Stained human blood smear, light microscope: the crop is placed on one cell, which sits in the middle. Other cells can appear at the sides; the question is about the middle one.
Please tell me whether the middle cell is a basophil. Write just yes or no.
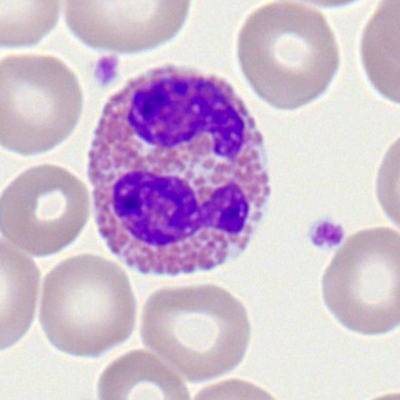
no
